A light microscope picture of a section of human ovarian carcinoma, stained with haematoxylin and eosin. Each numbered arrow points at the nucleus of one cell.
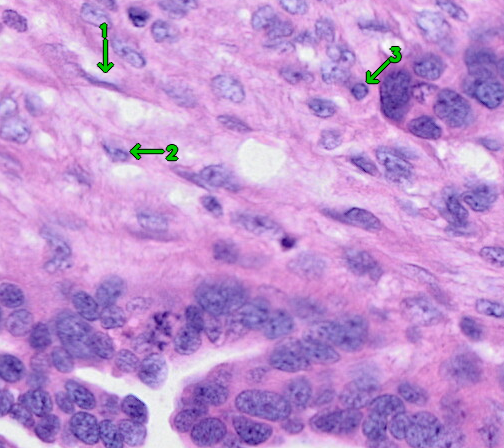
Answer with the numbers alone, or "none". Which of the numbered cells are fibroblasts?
1, 2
